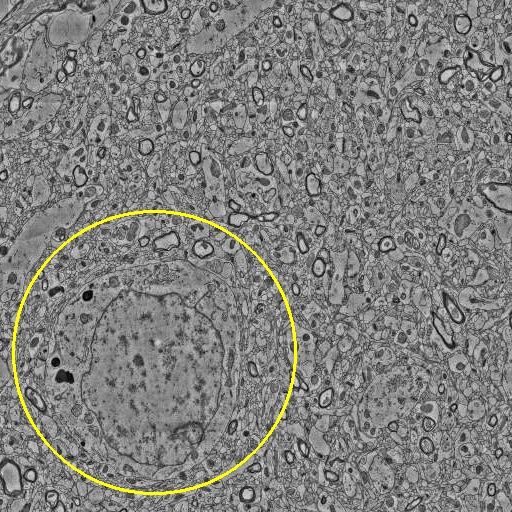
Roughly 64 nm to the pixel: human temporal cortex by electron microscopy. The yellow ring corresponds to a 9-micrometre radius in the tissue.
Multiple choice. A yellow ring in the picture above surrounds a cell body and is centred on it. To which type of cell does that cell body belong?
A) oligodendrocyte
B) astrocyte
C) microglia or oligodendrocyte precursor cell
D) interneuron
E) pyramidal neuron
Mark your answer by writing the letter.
E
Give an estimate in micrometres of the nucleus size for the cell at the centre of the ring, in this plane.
The nucleus of the ringed cell is approximately 12 by 10 micrometres in this plane.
